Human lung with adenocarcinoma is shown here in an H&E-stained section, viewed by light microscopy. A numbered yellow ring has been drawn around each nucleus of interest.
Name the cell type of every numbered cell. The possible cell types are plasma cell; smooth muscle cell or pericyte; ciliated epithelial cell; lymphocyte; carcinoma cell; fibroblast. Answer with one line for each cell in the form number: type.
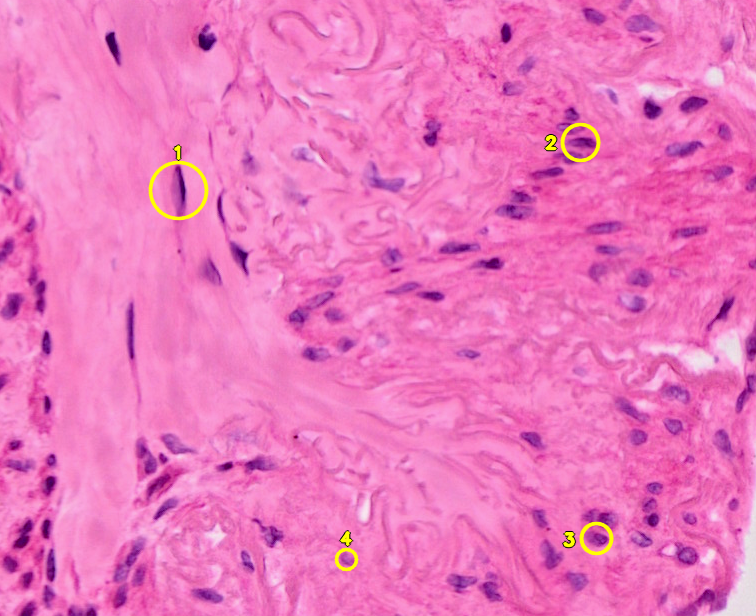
1: fibroblast
2: smooth muscle cell or pericyte
3: smooth muscle cell or pericyte
4: smooth muscle cell or pericyte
